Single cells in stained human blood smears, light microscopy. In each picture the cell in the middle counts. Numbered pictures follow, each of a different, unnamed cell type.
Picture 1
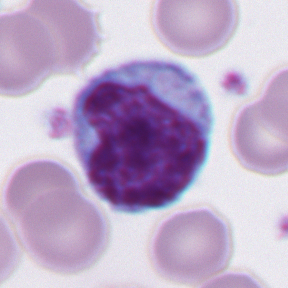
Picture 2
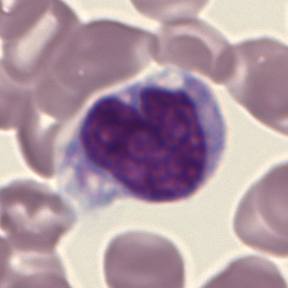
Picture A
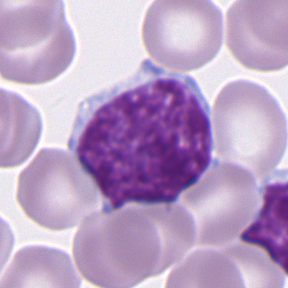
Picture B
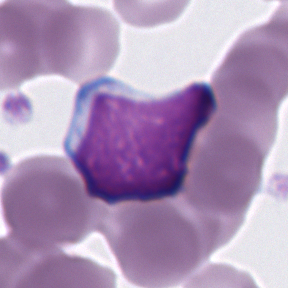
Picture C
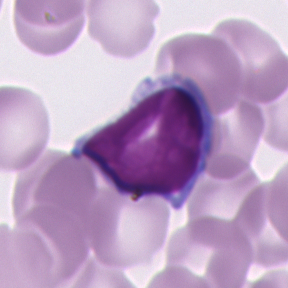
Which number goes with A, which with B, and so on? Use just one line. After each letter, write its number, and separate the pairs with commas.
A 1, B 1, C 1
